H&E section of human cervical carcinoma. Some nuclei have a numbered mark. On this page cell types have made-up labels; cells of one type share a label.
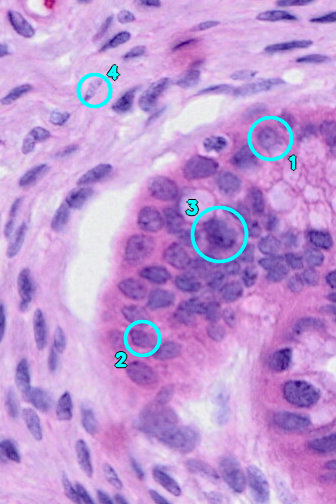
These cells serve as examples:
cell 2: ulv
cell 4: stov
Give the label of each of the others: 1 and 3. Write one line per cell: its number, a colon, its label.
1: ulv
3: ulv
